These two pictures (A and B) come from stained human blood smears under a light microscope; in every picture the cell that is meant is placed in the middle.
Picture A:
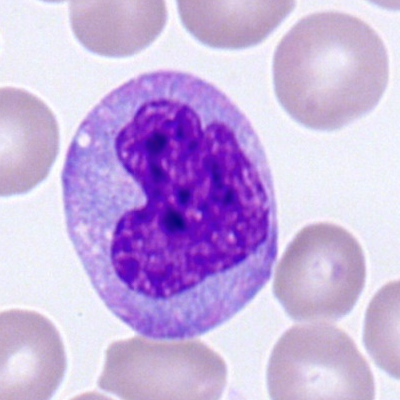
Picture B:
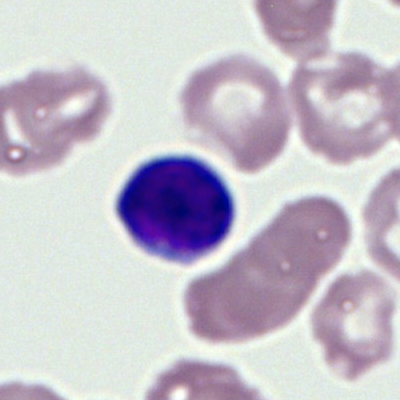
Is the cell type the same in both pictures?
no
